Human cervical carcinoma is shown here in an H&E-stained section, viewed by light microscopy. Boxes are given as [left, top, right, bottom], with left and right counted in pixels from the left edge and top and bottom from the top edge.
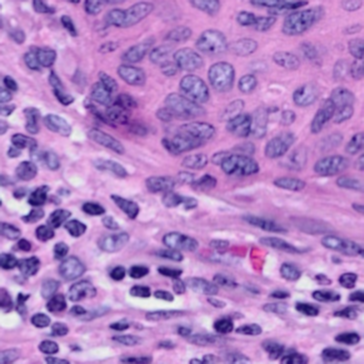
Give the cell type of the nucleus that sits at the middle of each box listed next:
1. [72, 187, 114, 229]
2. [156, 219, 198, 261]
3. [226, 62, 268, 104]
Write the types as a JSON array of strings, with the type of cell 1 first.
["lymphocyte", "endothelial cell", "squamous carcinoma cell"]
